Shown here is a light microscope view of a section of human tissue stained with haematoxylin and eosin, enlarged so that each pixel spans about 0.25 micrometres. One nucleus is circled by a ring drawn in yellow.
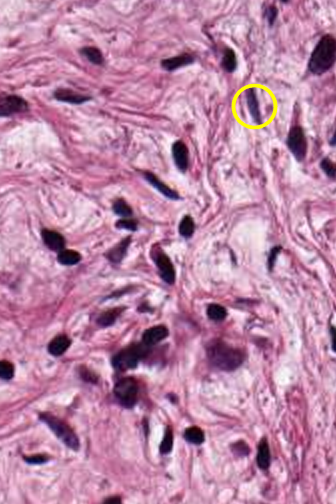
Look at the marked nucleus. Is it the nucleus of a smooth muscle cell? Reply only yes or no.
no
